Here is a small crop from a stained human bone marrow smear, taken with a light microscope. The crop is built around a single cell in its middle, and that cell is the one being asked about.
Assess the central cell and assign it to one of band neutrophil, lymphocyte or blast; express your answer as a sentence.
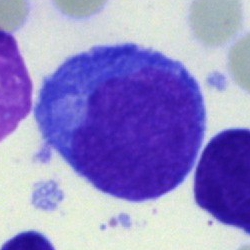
The middle of this crop is occupied by a blast.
